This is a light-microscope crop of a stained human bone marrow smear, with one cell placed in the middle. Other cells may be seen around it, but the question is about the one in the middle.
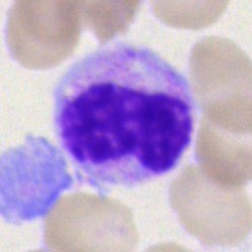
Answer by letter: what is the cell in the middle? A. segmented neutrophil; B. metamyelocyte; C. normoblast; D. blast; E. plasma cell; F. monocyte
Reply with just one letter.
B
